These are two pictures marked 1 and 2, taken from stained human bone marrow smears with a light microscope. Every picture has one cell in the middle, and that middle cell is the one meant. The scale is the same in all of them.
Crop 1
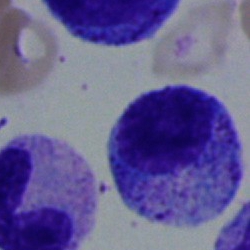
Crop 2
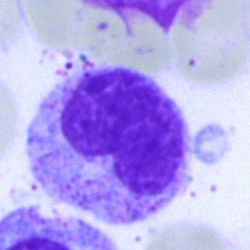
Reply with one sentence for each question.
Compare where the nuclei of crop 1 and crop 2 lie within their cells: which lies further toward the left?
It is the nucleus in crop 1 that lies further toward the left of its cell.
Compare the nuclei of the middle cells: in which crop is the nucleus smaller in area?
It is the nucleus in crop 1; the one in crop 2 has about 1.5 times its area.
